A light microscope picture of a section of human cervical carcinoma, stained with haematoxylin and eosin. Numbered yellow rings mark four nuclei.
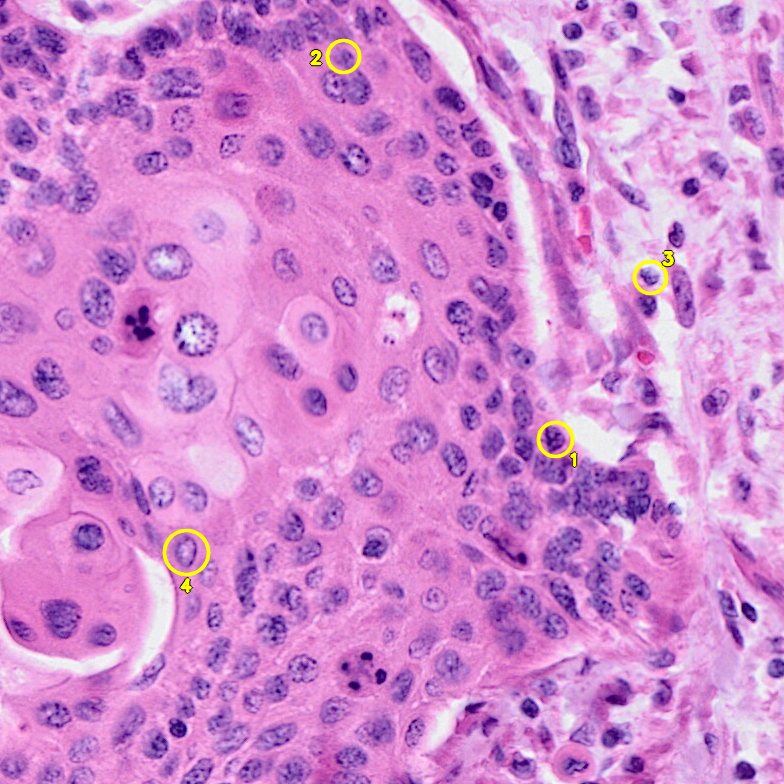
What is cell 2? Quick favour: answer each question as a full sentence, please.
The numbered cell 2 is identified here as a squamous carcinoma cell.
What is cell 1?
The cell identified by the number 1 is a squamous carcinoma cell.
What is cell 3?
Identified as a lymphocyte is the cell bearing the number 3.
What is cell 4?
The cell pointed out as number 4 is a squamous carcinoma cell.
